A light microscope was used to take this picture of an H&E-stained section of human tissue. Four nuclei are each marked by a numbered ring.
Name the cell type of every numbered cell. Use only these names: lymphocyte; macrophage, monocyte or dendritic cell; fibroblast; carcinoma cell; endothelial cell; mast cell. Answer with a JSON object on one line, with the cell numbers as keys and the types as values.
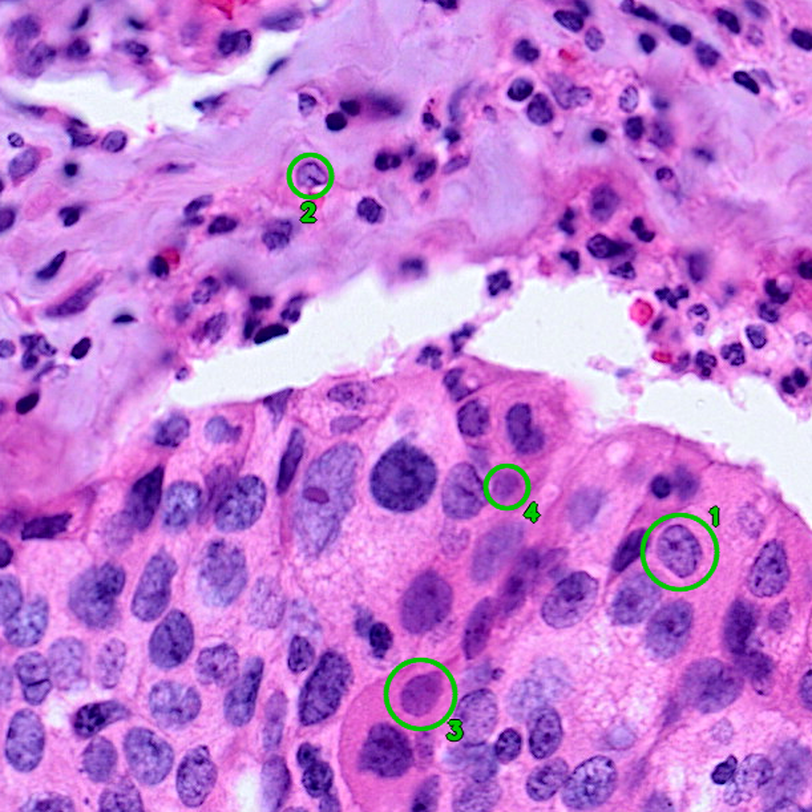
{"1": "carcinoma cell", "2": "endothelial cell", "3": "carcinoma cell", "4": "carcinoma cell"}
